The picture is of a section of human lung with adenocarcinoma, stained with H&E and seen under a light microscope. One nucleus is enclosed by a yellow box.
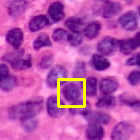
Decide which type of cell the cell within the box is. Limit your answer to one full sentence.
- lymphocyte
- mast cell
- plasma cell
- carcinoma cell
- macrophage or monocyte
In this tissue section, the cell within the box is to be classed as a lymphocyte.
